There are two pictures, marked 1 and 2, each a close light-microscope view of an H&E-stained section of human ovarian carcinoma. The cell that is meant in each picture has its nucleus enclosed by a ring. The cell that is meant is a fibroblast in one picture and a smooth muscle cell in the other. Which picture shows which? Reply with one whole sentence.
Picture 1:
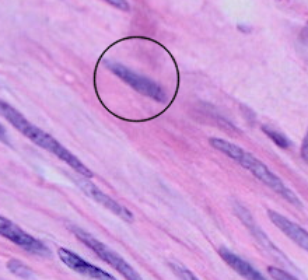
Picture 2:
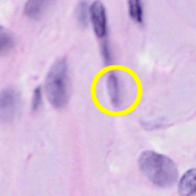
In picture 1 the cell is a smooth muscle cell; in picture 2, a fibroblast.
